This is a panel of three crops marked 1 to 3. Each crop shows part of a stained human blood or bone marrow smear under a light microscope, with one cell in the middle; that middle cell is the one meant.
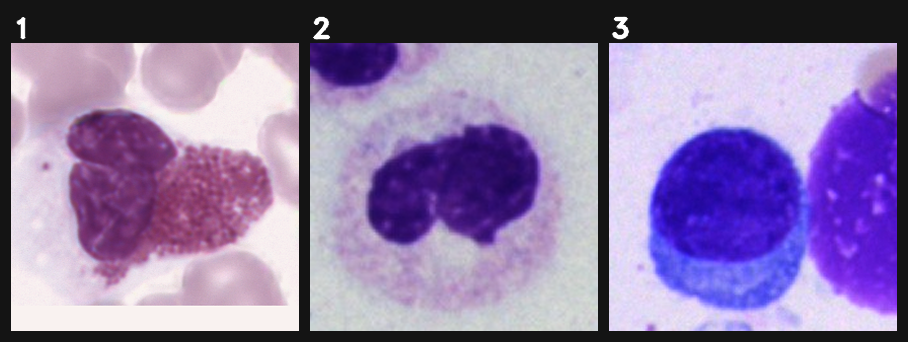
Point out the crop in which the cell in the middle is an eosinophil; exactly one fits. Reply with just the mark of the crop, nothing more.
1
